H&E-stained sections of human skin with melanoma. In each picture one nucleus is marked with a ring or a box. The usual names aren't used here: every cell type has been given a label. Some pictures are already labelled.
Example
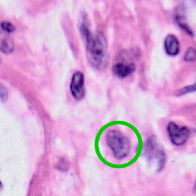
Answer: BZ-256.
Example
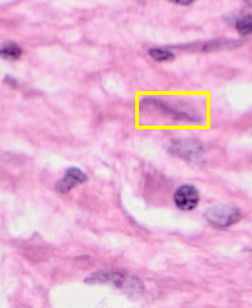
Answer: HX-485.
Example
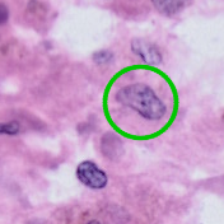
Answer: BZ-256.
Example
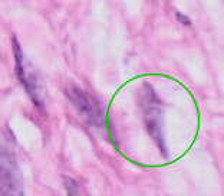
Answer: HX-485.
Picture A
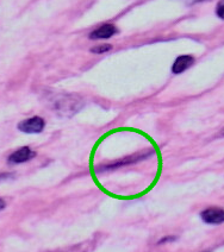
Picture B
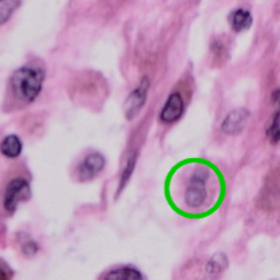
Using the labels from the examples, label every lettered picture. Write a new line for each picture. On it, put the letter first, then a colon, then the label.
A: HX-485.
B: BZ-256.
